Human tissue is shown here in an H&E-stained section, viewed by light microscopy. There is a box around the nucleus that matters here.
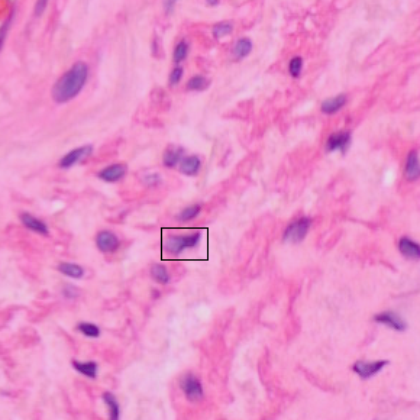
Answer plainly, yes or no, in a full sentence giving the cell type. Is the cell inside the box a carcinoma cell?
No, that's not it; the cell inside the box is a smooth muscle cell or pericyte rather than a carcinoma cell.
